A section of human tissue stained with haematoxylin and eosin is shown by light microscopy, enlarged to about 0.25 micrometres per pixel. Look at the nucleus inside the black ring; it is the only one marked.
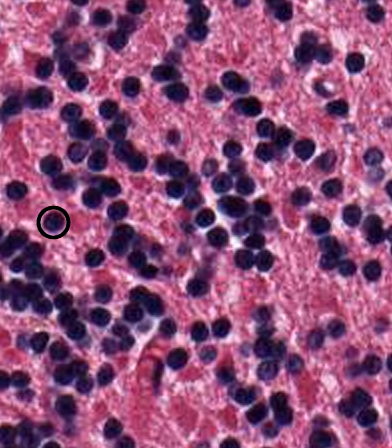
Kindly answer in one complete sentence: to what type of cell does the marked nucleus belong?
Located in a cerebellar granule cell is the marked nucleus.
